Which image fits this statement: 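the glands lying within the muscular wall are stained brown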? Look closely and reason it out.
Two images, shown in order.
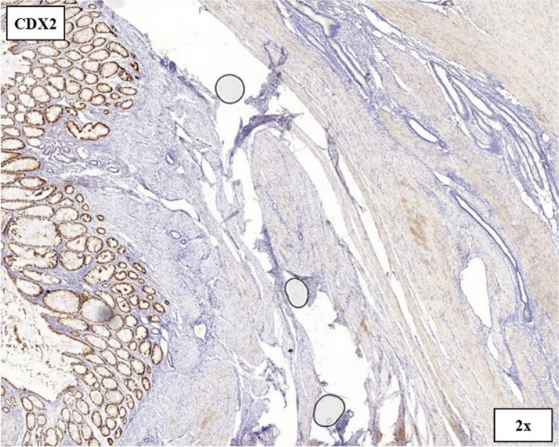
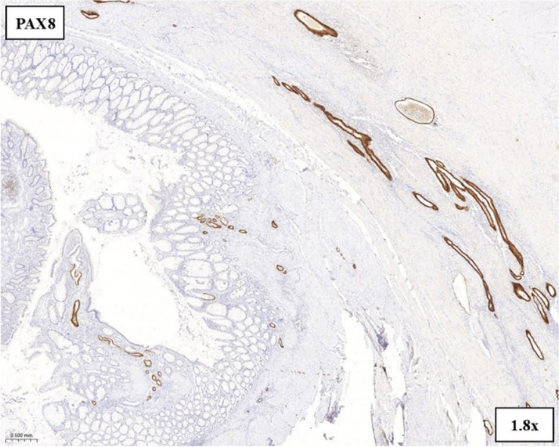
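The second image. Second image: the glands scattered in the muscular wall have brown-lined epithelium. First image: the glands in the muscular wall are only blue, while the mucosal crypts are brown.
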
